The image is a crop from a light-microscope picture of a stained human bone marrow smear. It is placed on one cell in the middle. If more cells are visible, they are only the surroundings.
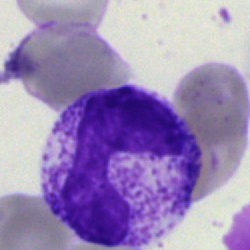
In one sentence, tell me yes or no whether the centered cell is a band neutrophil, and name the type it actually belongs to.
Yes, a band neutrophil is what the central cell is.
